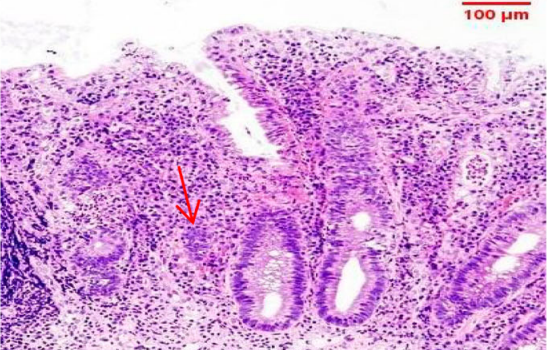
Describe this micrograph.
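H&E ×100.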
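This is a section of intestinal mucosa in which tubular crypts lined by columnar epithelium with purple nuclei lie in a lamina propria densely crowded with small dark-nucleated inflammatory cells. The crypts are irregularly spaced, and several have open, dilated lumens. At one crypt the epithelial lining is blurred by inflammatory cells pressing in from the surrounding stroma. A dense aggregate of small dark lymphoid-looking cells lies at the lower left edge, and the surface epithelium runs along the top.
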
